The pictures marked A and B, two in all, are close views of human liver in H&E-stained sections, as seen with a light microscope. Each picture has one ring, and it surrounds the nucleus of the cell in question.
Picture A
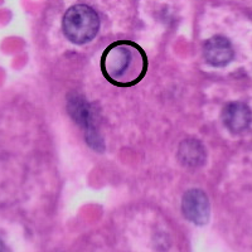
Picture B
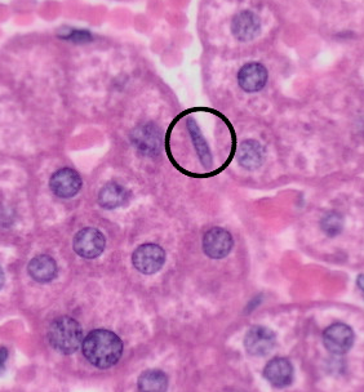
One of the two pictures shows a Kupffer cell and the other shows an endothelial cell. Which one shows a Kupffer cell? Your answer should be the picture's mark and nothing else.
B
